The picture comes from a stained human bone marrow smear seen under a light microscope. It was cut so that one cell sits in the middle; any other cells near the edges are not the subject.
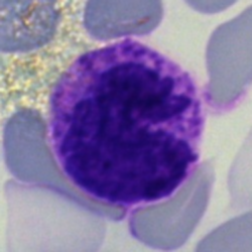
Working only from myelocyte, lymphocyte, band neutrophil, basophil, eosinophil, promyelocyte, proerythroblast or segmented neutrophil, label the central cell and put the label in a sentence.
This crop has a basophil at its centre.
